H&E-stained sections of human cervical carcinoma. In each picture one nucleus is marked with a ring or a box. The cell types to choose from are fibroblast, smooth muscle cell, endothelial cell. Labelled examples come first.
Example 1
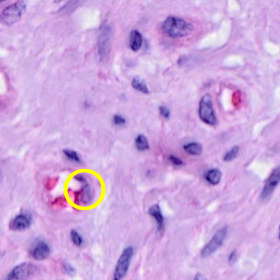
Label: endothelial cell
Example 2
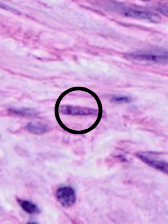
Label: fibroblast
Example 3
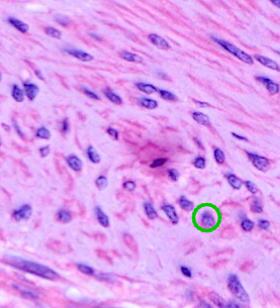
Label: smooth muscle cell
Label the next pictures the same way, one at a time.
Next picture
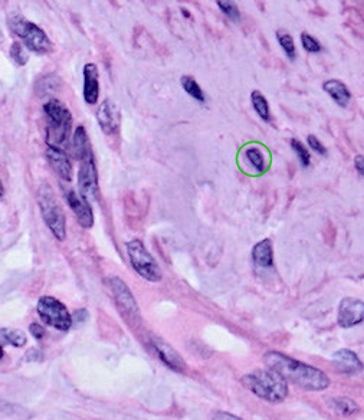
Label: smooth muscle cell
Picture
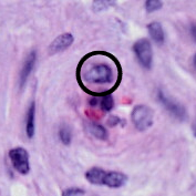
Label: endothelial cell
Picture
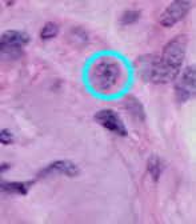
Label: smooth muscle cell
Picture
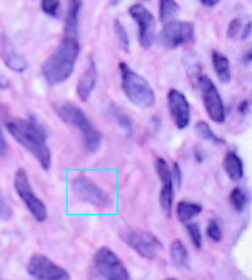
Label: fibroblast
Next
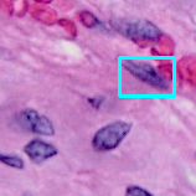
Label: endothelial cell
